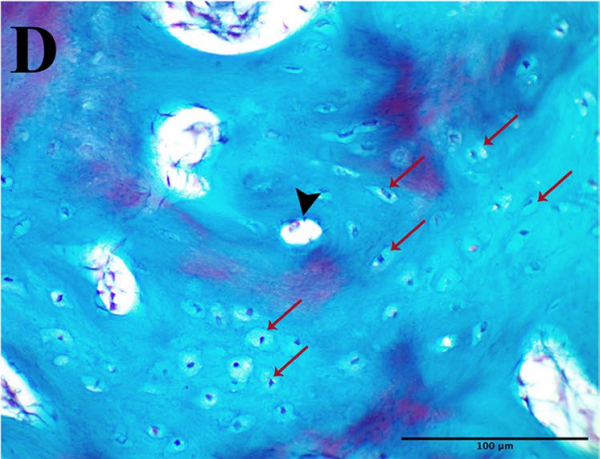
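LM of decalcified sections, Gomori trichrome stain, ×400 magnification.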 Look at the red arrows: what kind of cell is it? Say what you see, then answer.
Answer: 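Entrapped osteocytes. The marked cells are small and sit singly in lacunae. They are scattered throughout the dense blue-green matrix.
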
